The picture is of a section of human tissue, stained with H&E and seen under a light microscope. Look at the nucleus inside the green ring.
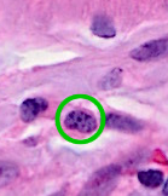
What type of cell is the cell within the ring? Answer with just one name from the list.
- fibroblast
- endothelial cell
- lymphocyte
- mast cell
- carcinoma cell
mast cell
